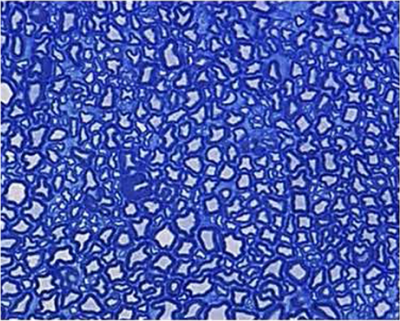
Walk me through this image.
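The field is densely packed with dark blue rings, the myelin sheaths, each surrounding a pale, unstained axon core. The fibres vary widely in size, from small rings to large profiles several times wider. Many axon cores have angular or star-like outlines. The fibres lie closely side by side with little space between them.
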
